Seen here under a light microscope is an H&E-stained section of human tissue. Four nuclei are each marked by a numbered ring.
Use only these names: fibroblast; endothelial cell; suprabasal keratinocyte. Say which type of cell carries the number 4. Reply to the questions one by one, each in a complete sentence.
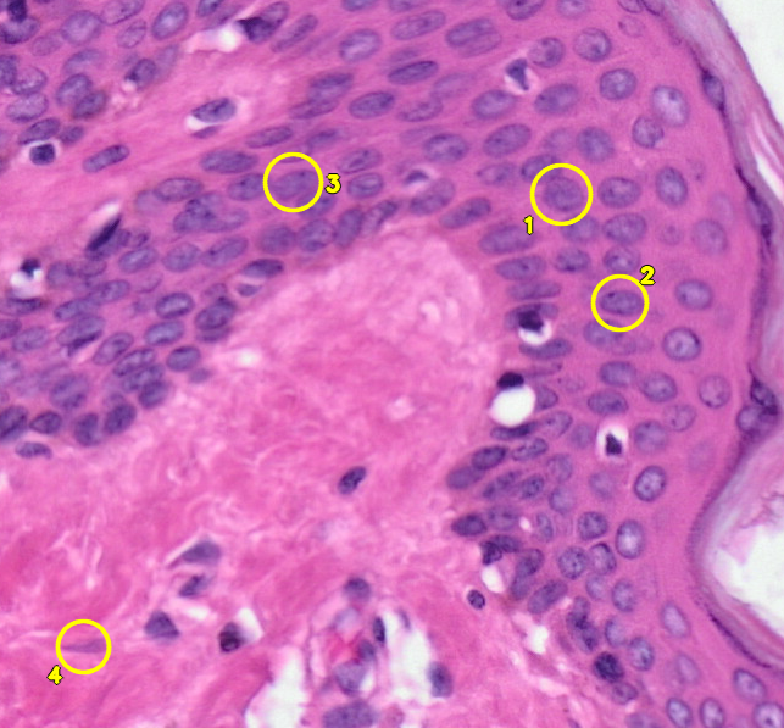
In the marked set, the cell given number 4 is a fibroblast.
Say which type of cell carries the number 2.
The numbered cell 2 is identified here as a suprabasal keratinocyte.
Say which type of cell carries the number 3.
The identity of cell 3 is that of a suprabasal keratinocyte.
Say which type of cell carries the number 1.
Regarding cell 1, this one is a suprabasal keratinocyte.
